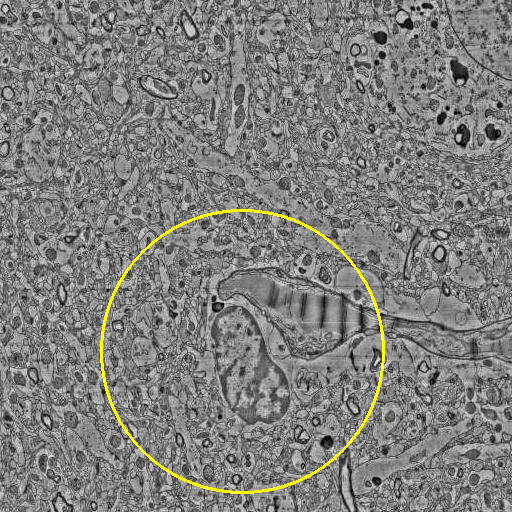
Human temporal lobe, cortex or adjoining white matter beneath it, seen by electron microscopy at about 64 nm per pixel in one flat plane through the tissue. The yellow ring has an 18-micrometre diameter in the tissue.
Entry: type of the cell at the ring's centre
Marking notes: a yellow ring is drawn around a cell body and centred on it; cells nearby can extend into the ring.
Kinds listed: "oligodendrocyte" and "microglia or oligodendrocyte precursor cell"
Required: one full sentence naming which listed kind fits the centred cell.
My entry names a microglial cell or oligodendrocyte precursor cell as the cell whose body the yellow ring centres on.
